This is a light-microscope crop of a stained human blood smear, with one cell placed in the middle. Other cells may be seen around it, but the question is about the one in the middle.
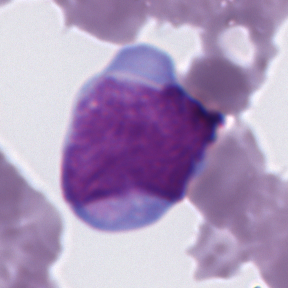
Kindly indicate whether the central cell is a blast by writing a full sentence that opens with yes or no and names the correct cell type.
Yes, the cell at the centre of the field is a blast.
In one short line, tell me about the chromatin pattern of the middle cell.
In this cell the chromatin is fine rather than coarsely clumped.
